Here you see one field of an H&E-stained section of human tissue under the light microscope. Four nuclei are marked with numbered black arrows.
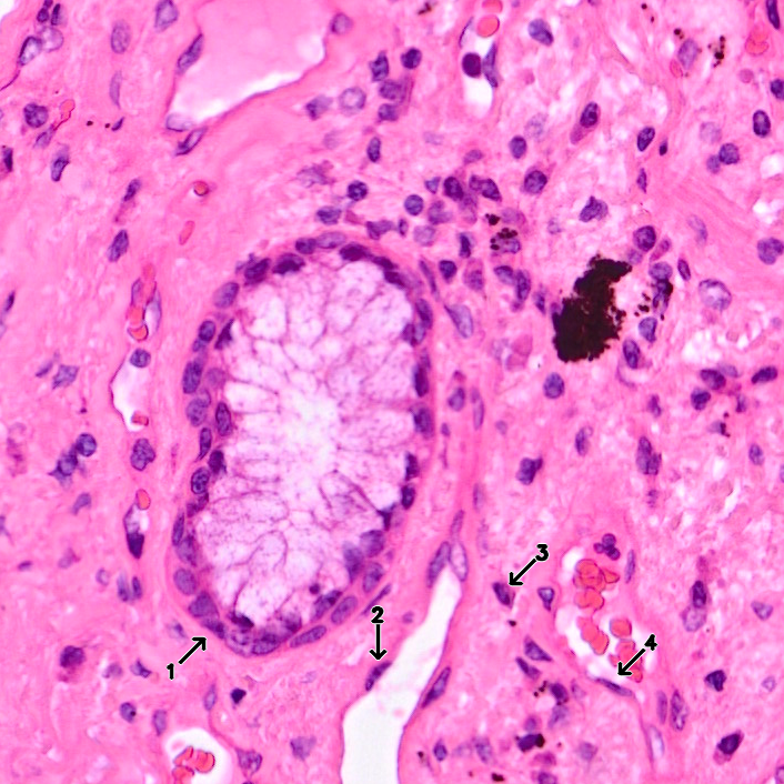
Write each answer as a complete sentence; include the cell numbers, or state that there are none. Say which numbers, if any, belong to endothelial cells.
The cells referred to by the numbers 2 and 4 are endothelial cells.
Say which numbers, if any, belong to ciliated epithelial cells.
Only one marked cell, number 1, is a ciliated epithelial cell.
